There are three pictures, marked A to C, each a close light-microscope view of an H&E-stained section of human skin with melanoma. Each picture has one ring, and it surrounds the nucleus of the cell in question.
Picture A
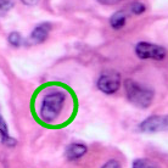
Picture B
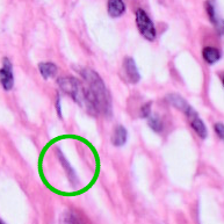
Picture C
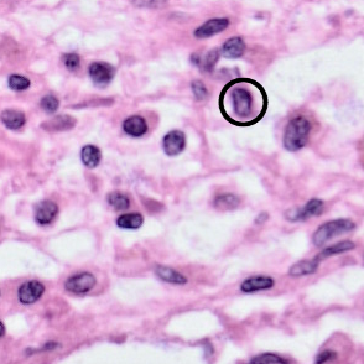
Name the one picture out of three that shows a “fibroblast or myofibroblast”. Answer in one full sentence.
The cell in picture B is the “fibroblast or myofibroblast”.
